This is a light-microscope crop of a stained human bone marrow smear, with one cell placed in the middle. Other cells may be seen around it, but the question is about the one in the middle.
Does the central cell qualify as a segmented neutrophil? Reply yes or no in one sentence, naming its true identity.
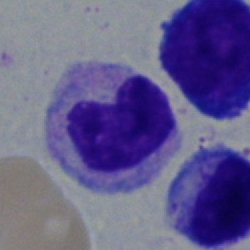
No, the correct answer for the middle cell is a band neutrophil, not a segmented neutrophil.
